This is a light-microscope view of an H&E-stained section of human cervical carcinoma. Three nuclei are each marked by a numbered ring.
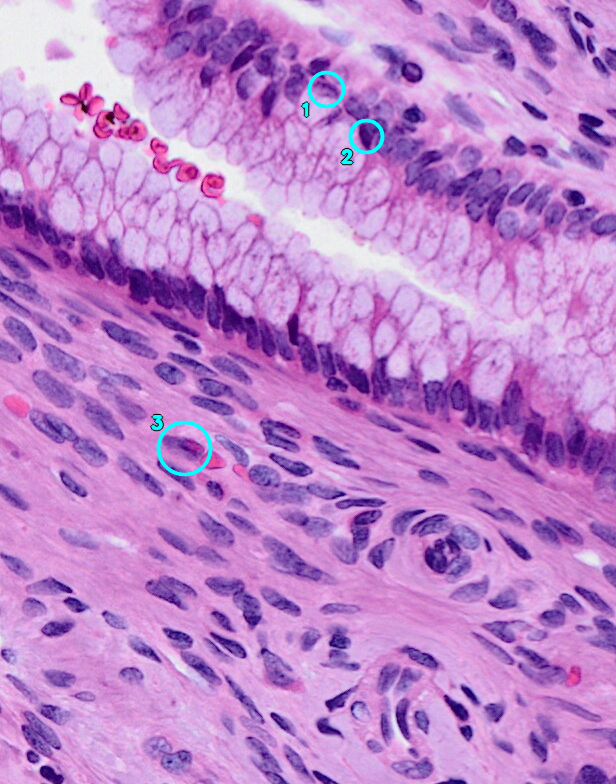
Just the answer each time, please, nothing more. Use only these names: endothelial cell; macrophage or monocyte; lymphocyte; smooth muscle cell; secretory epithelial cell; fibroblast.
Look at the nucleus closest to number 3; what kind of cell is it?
fibroblast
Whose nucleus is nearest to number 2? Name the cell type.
secretory epithelial cell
